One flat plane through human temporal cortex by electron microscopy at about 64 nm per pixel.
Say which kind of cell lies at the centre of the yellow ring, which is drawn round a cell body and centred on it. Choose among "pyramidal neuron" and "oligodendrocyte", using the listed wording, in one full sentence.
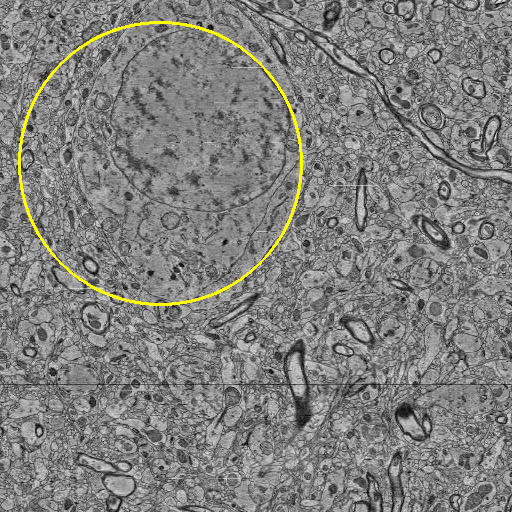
Going by the list, the cell at the yellow ring's centre is a pyramidal neuron.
